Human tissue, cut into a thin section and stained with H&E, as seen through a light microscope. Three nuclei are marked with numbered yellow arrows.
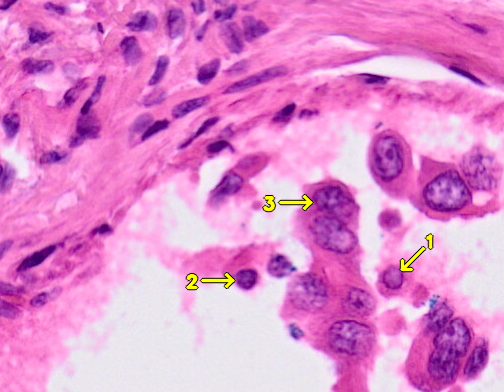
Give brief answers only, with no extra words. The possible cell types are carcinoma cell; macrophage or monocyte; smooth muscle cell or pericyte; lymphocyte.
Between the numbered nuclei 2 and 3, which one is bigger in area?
3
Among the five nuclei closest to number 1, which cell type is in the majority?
carcinoma cell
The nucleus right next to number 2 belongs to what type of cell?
lymphocyte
